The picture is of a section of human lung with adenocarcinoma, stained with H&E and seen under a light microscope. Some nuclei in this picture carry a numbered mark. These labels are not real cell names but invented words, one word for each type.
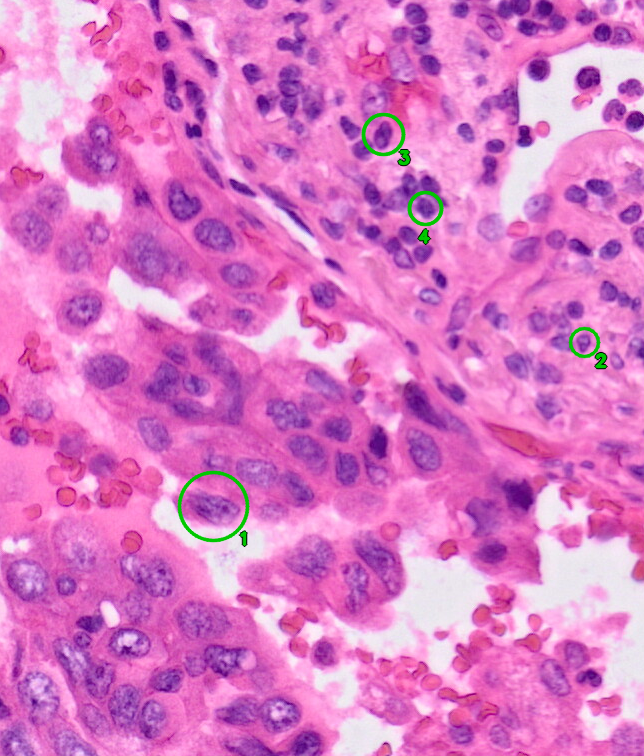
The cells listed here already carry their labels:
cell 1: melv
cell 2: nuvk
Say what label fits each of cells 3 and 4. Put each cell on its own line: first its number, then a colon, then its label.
3: nuvk
4: nuvk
